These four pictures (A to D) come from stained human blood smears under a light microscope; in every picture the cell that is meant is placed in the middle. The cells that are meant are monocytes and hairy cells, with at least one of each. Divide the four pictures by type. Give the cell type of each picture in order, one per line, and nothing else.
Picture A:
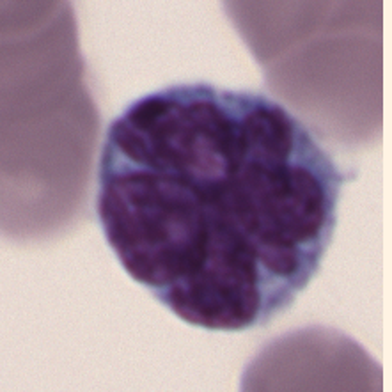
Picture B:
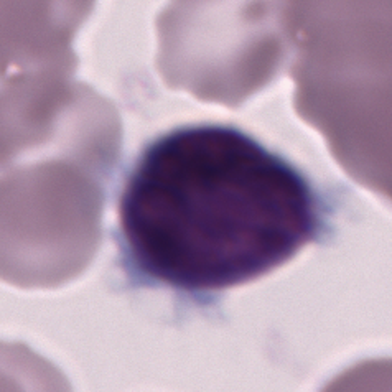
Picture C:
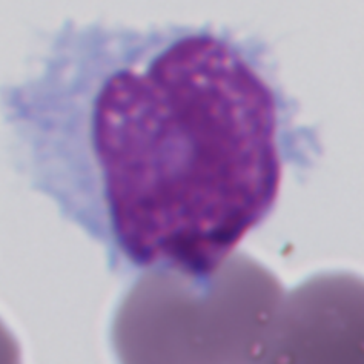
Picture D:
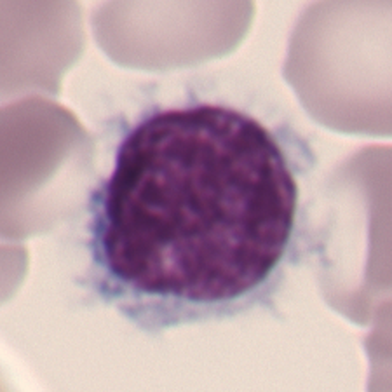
monocyte
hairy cell
hairy cell
hairy cell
